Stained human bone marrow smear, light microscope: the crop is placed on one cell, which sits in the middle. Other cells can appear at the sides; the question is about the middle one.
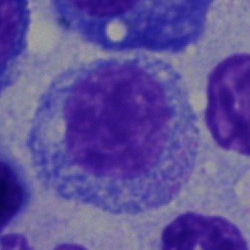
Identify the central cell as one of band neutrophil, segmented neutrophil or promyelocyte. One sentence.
This crop is built around a promyelocyte at its centre.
